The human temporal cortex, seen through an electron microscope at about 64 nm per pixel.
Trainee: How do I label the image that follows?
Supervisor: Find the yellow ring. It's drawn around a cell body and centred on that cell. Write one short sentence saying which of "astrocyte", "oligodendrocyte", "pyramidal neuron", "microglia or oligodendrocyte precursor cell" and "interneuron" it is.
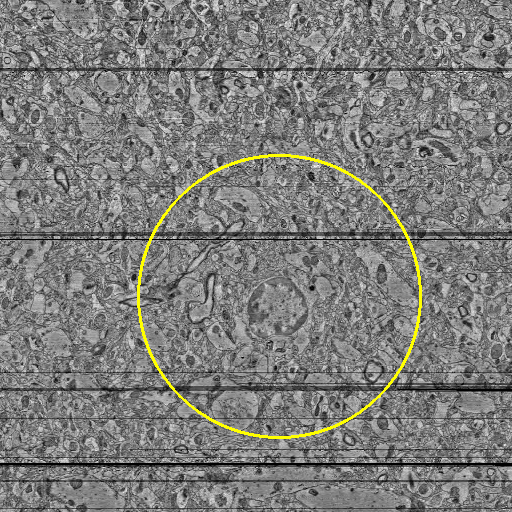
This is the cell body of a microglial cell or oligodendrocyte precursor cell.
